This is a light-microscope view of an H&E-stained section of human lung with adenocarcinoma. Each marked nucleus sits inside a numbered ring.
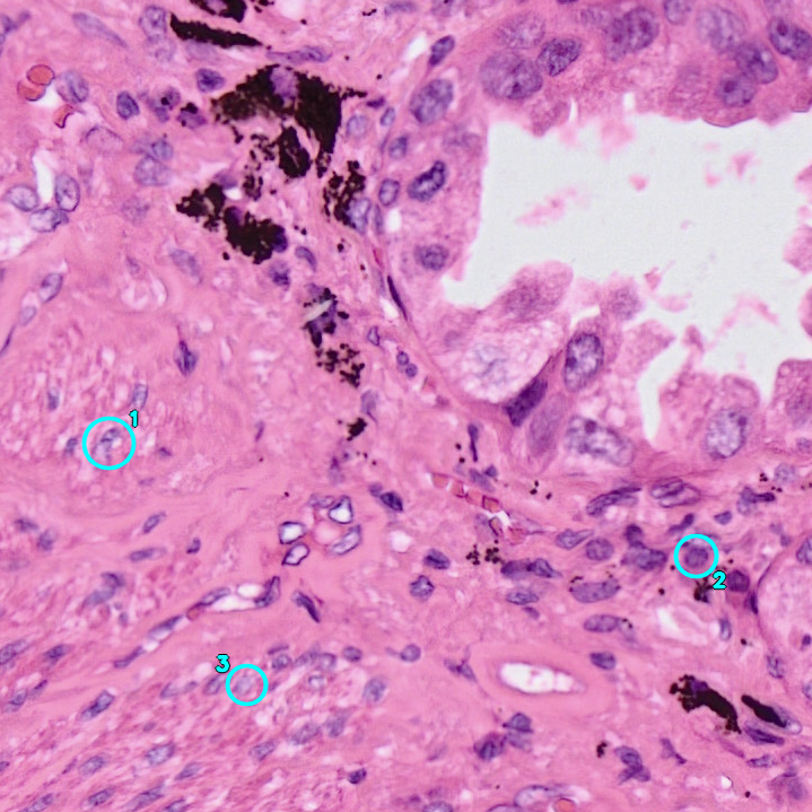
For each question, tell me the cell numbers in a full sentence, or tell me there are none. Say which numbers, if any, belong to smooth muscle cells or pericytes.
Cells 1 and 3 are recognised here as smooth muscle cells or pericytes.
